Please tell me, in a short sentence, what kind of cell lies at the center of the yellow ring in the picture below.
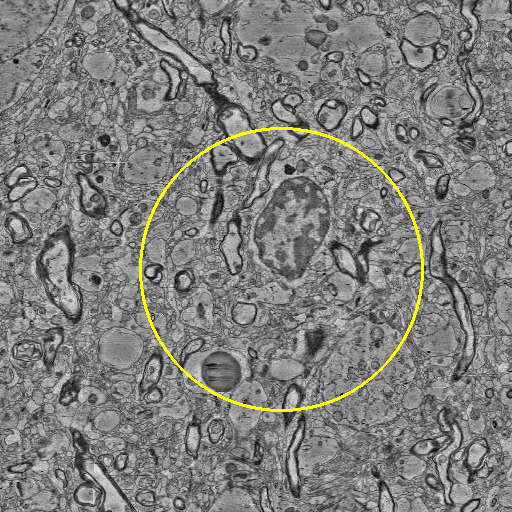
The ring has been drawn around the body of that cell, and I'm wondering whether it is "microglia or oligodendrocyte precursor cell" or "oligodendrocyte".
The cell at the center of the ring is a microglial cell or oligodendrocyte precursor cell.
